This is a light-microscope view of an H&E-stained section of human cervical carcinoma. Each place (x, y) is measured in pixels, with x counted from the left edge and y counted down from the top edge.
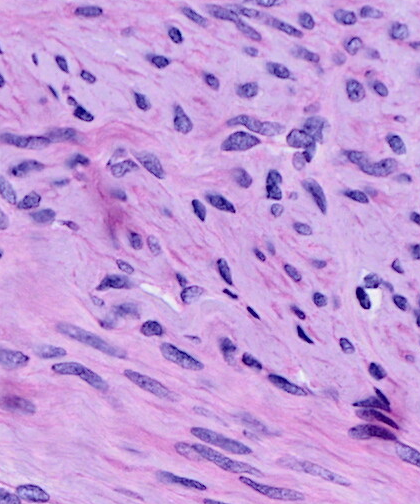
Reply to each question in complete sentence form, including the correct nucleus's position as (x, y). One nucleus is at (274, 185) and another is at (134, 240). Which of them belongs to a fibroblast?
The nucleus at (274, 185) is housed in a fibroblast.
